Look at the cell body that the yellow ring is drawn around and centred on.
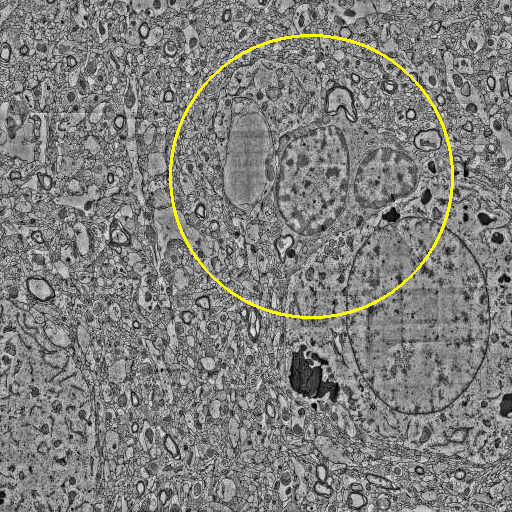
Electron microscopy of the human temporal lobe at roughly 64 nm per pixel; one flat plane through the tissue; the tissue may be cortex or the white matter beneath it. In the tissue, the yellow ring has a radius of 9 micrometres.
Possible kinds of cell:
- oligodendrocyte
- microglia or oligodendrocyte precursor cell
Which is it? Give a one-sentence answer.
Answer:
The centred cell body is that of an oligodendrocyte.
